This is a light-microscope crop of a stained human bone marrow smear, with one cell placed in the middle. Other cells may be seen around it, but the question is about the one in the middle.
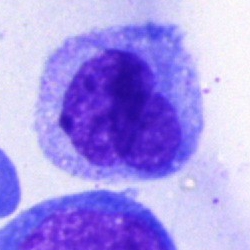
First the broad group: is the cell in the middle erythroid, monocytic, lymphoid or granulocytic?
monocytic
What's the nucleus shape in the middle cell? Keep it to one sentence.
Counting the nuclear lobes gives a total of at least two.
